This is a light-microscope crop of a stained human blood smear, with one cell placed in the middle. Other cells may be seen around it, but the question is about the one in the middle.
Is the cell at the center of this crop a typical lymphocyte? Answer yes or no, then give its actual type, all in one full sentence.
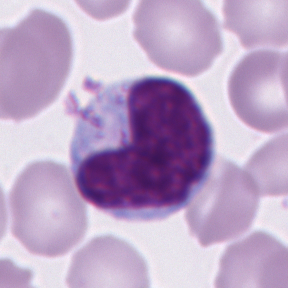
No, the cell in the middle is a large granular lymphocyte, not a typical lymphocyte.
